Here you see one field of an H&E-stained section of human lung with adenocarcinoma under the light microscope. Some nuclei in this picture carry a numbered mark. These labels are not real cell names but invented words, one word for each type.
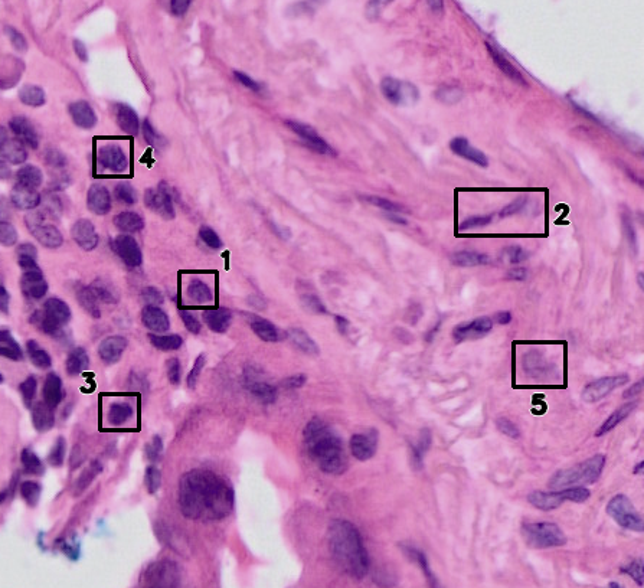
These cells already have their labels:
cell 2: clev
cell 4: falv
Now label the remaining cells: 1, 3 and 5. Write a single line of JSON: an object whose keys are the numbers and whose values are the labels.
{"1": "falv", "3": "falv", "5": "clev"}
